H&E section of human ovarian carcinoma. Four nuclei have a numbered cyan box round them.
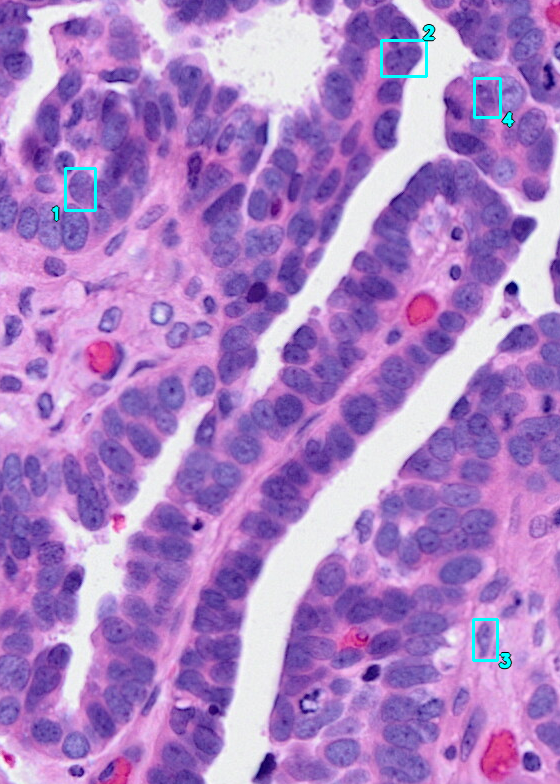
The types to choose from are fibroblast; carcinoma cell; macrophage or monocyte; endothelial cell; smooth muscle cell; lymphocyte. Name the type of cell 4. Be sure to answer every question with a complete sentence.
The marked nucleus 4 is that of a carcinoma cell.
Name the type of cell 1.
The cell bearing label 1 corresponds to a carcinoma cell.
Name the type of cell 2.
Recognised here as a carcinoma cell is the cell numbered 2.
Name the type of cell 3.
Cell 3 is classified as a fibroblast.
